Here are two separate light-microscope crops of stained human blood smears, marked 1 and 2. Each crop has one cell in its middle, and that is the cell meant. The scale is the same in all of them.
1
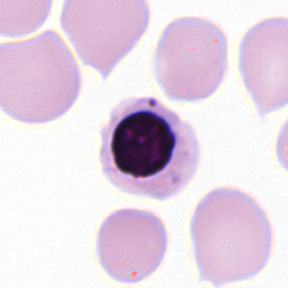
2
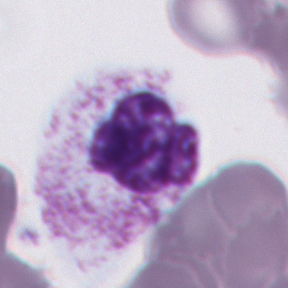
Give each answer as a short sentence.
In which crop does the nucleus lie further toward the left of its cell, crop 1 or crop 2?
Seen within its cell, the nucleus in crop 1 lies further toward the left.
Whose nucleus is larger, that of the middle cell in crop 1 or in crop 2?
Crop 2 shows the larger nucleus; it covers about 2.5 times the area of the nucleus in crop 1.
